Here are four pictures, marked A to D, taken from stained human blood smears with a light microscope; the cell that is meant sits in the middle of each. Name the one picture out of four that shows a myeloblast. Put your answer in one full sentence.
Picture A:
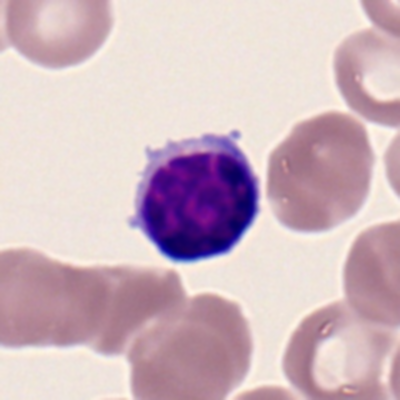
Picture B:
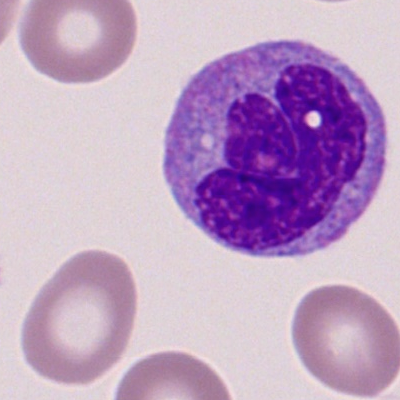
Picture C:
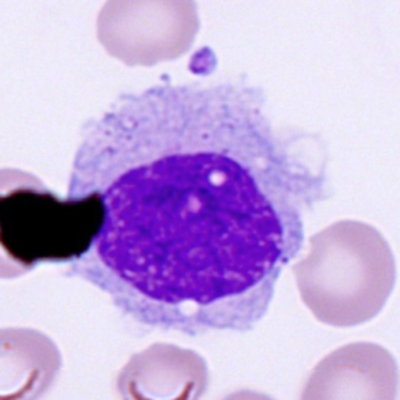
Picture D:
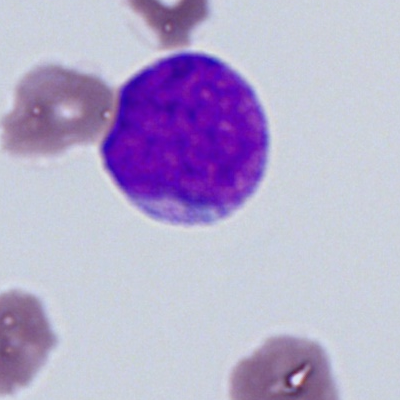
The picture with the myeloblast is D.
